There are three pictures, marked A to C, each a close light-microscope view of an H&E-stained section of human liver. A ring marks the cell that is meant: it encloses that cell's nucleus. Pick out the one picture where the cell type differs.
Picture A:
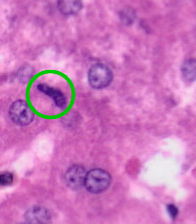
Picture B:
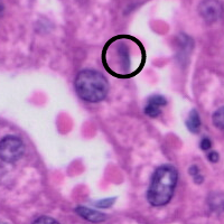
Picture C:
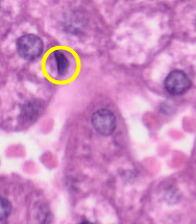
B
